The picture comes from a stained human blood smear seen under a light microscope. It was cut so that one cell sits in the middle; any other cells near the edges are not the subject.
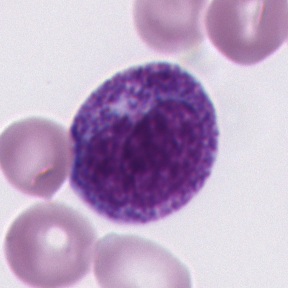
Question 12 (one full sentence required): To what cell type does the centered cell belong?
In this smear crop, the middle cell is a myelocyte.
